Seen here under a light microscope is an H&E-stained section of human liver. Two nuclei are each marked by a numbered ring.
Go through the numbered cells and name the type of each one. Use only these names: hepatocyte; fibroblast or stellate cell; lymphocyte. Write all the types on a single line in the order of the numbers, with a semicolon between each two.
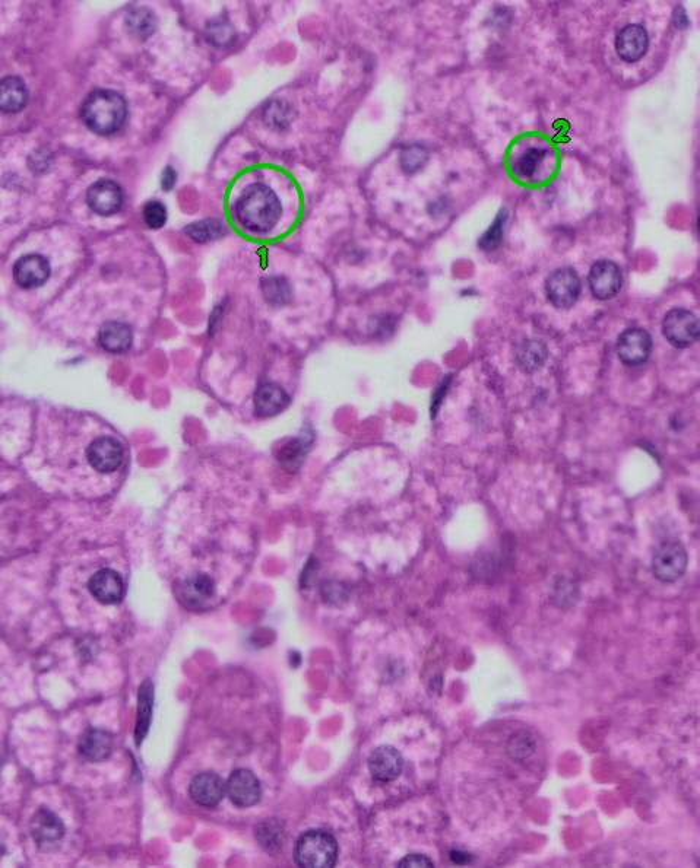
hepatocyte; fibroblast or stellate cell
